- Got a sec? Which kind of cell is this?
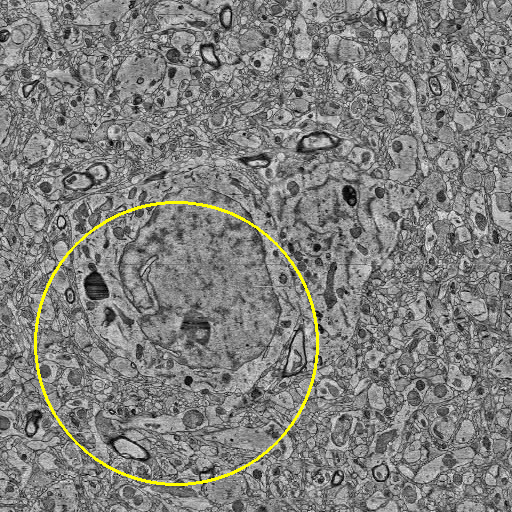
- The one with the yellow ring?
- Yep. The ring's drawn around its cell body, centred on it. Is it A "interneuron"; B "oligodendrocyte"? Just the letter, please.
A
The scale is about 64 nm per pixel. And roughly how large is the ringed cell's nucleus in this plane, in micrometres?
Approximately 12 by 10 micrometers in this plane.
